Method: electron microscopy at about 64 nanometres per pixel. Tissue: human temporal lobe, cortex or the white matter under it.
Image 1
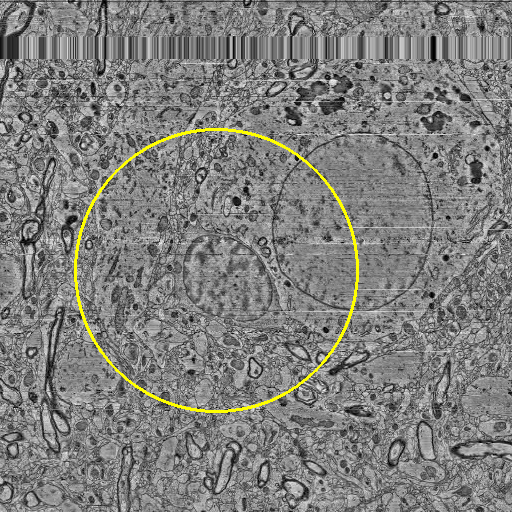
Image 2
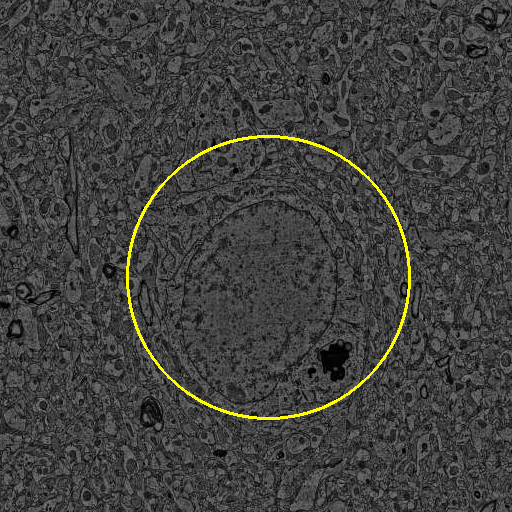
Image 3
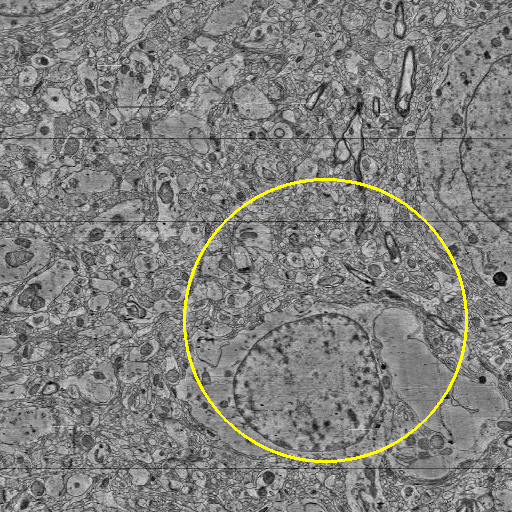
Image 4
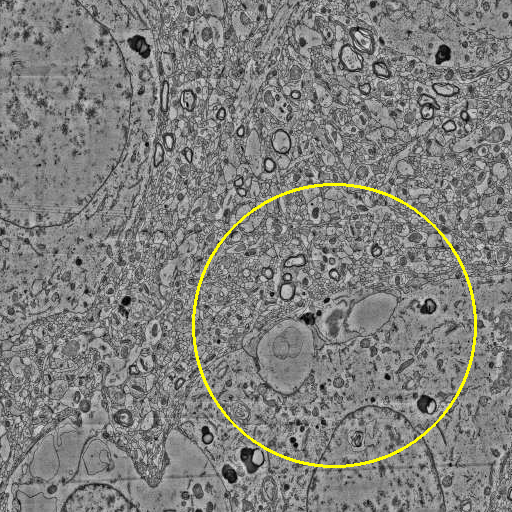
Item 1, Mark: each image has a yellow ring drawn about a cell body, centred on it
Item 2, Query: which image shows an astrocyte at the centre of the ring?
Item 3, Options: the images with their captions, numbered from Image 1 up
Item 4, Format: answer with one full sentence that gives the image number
My answer is image 3, where the cell at the ring's centre fits.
